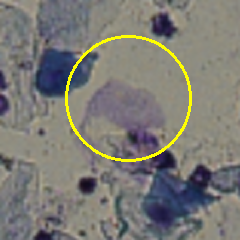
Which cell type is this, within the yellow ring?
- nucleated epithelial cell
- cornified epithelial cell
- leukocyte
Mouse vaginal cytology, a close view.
Within the ring is a cornified epithelial cell.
